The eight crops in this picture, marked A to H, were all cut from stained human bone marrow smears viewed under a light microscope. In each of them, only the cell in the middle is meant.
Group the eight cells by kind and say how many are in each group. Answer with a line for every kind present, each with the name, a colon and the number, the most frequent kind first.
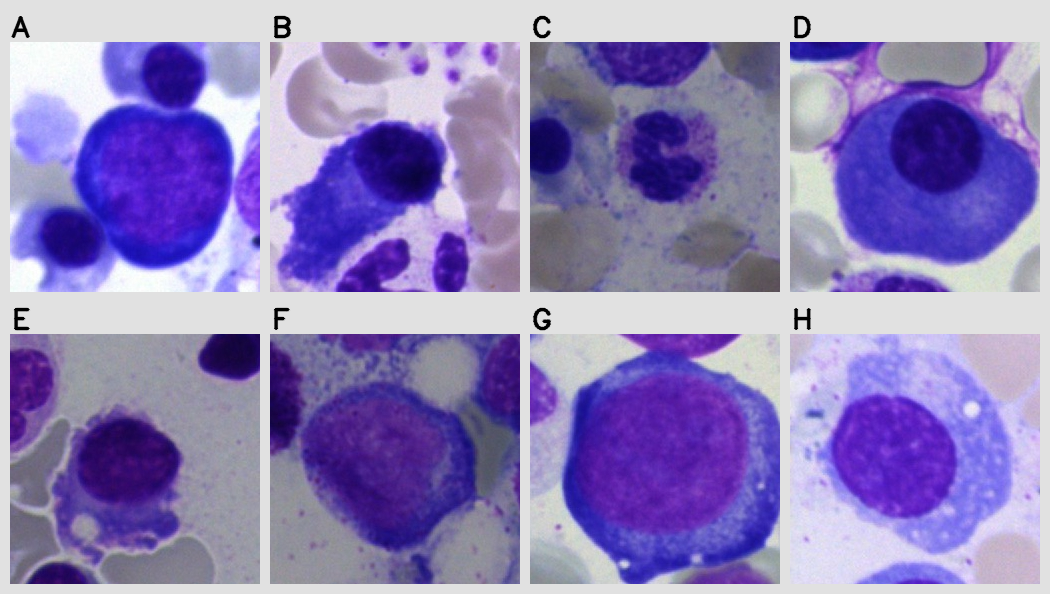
plasma cell: 4
proerythroblast: 3
basophil: 1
